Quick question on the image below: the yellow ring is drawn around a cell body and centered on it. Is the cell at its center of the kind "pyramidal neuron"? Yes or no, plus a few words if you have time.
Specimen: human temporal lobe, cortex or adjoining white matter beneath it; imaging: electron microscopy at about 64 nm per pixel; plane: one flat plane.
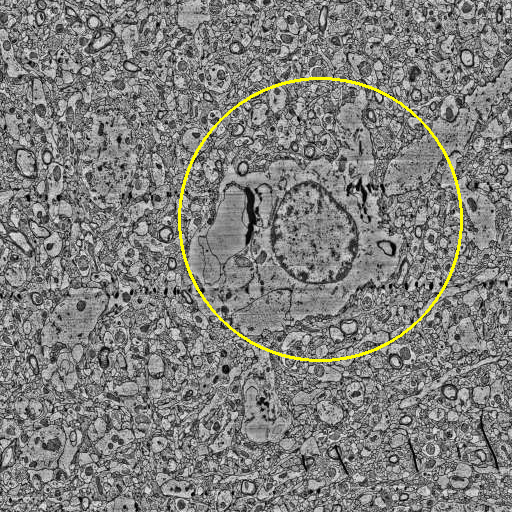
No, the cell at the center is of another kind.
